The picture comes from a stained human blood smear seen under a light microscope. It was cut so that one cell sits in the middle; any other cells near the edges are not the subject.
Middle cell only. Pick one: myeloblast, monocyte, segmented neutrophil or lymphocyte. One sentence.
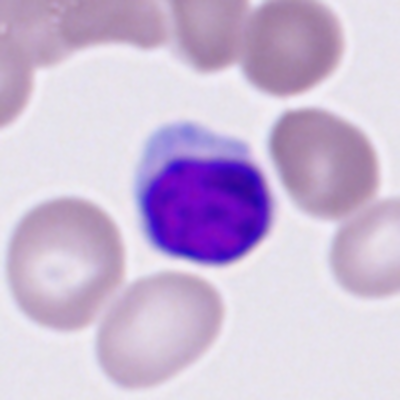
By classification, the middle cell of this crop is a lymphocyte.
